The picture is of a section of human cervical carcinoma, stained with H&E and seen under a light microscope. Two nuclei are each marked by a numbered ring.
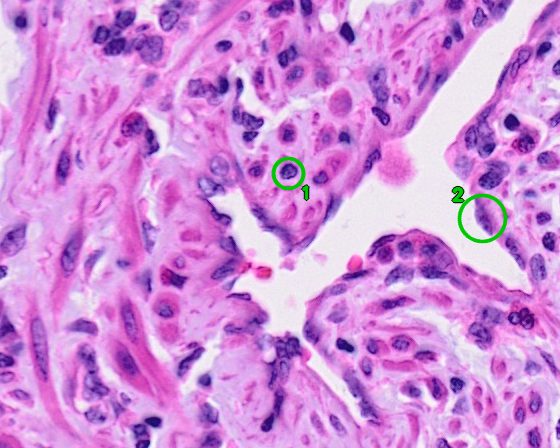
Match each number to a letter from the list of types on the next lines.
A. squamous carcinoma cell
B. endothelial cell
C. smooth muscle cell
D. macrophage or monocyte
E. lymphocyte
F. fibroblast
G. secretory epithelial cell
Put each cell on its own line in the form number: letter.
1: E
2: B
